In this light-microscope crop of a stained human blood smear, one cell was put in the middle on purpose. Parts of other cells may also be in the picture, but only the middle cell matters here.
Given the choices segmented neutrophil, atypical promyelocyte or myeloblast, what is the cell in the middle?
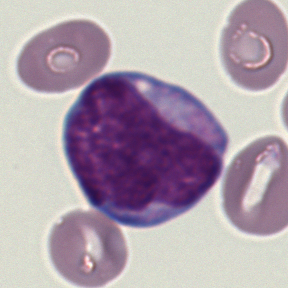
atypical promyelocyte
